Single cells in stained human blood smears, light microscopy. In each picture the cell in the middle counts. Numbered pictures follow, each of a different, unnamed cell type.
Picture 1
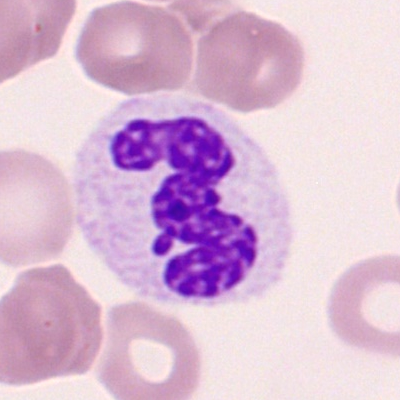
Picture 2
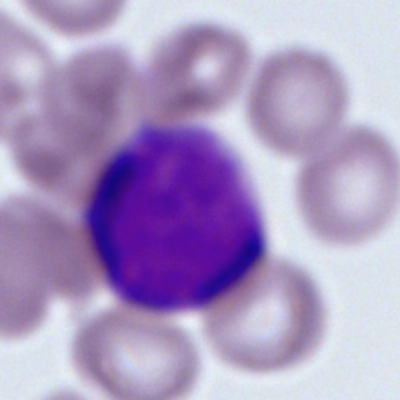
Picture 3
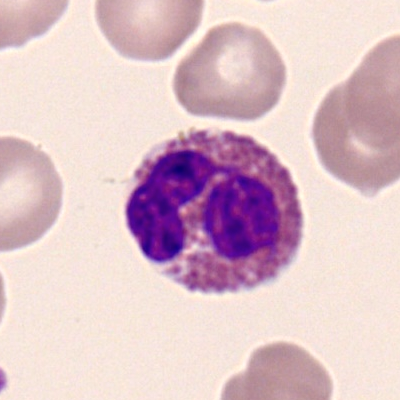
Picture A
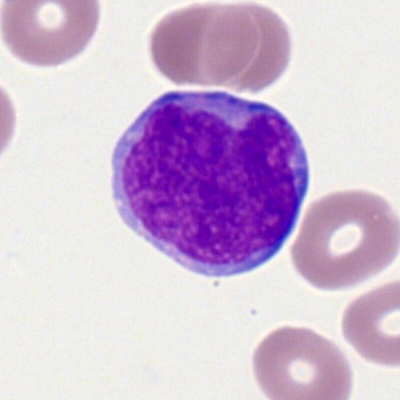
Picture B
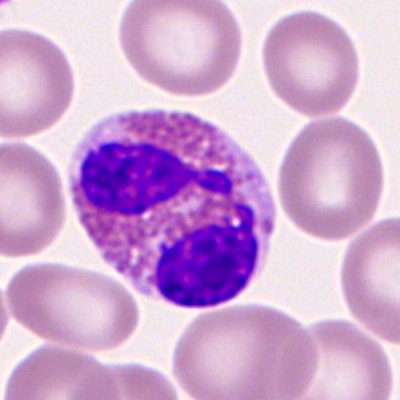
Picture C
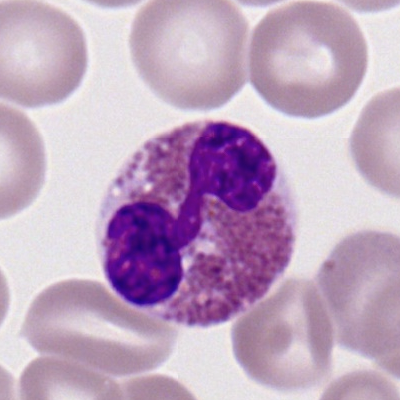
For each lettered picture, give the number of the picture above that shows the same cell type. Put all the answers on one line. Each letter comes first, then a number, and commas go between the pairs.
A 2, B 3, C 3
